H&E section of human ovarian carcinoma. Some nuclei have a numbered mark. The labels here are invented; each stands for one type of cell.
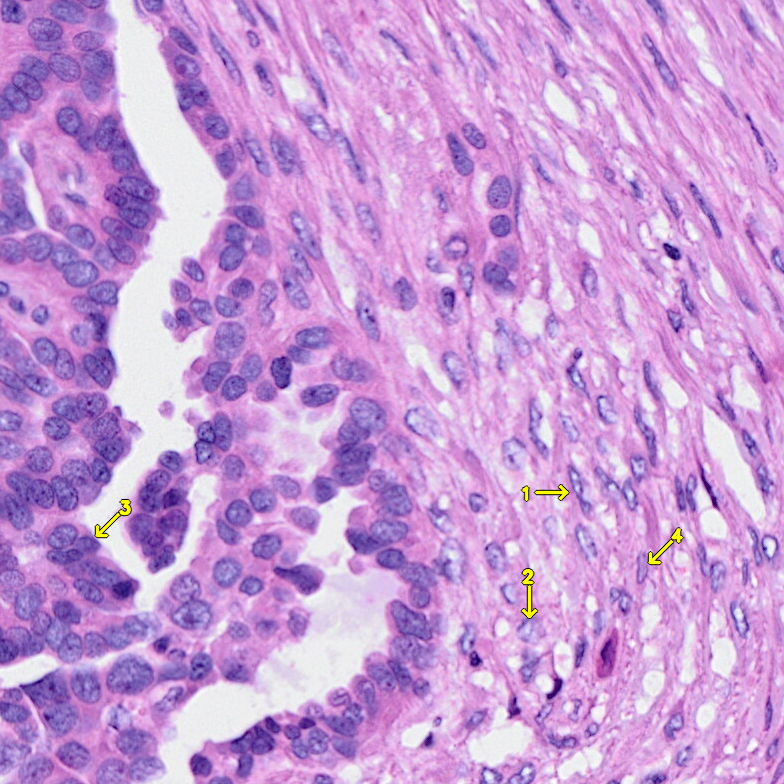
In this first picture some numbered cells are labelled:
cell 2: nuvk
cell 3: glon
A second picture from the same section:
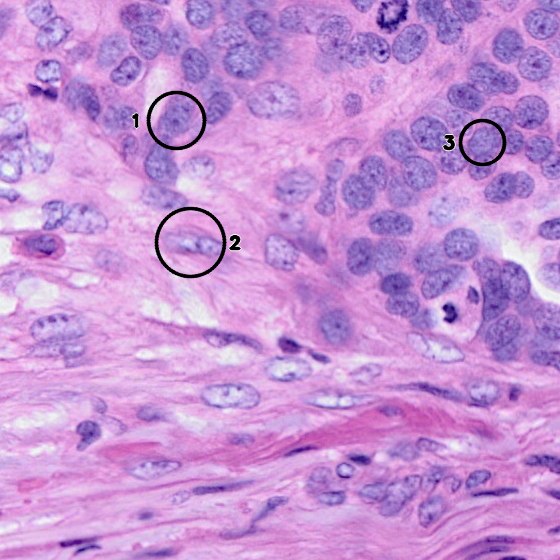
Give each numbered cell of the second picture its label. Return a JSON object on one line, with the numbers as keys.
{"1": "glon", "2": "nuvk", "3": "glon"}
